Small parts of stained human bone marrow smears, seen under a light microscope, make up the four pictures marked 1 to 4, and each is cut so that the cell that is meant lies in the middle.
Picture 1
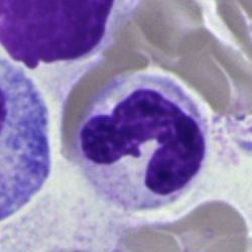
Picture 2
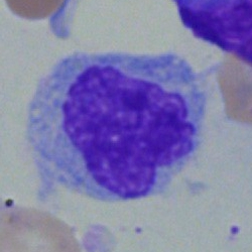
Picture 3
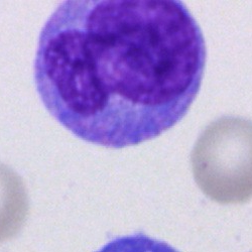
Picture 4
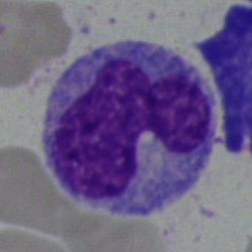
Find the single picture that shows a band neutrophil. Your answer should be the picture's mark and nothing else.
1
